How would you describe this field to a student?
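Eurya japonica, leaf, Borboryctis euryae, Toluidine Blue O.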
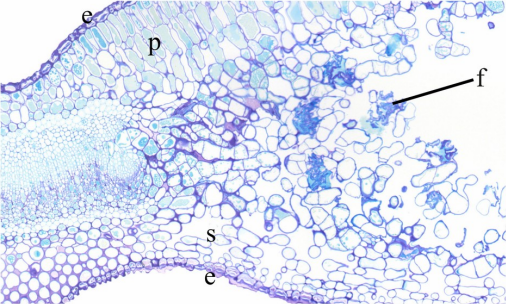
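This is a cross-section of a leaf near the mid-vein, stained blue to purple. Along the upper surface lies a single flattened epidermis over a row of elongated, column-like palisade cells. At the left a rounded vascular bundle of the mid-vein sits with its small radially arranged cells, with thick-walled cells below it toward the lower epidermis. To the right, the normal layering gives way to a mass of enlarged, rounded, loosely packed thin-walled cells forming callus-like tissue within the mined space, among which lie dark blue irregular clumps of frass.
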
